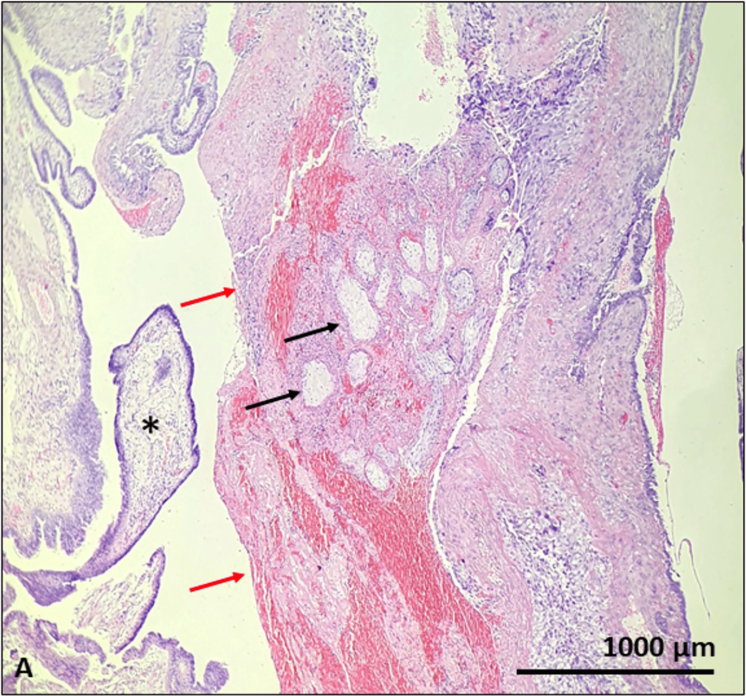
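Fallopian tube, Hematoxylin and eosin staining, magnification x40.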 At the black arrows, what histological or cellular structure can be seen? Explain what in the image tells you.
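Chorionic villi. A cluster of small pale rounded profiles with loose cores. They sit within pink and red material in the middle of the section.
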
